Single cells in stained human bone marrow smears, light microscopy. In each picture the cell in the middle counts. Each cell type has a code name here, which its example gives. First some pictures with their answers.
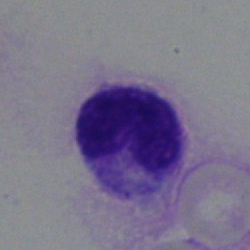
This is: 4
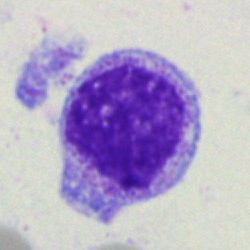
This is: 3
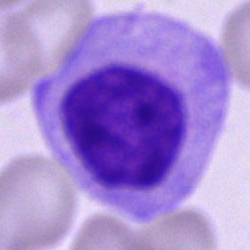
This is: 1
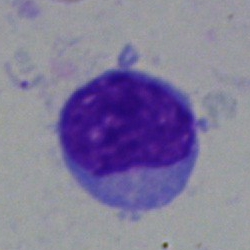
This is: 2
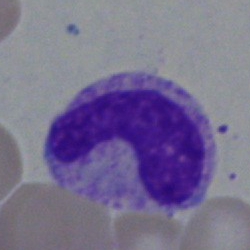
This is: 4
